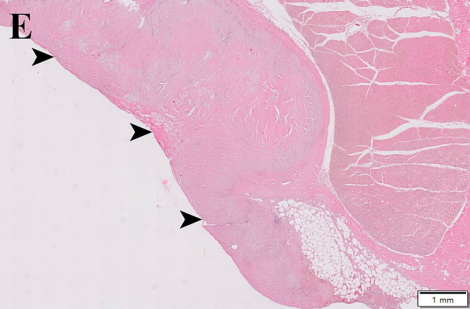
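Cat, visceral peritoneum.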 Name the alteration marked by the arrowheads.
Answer: sclerotic fibrous connective tissue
